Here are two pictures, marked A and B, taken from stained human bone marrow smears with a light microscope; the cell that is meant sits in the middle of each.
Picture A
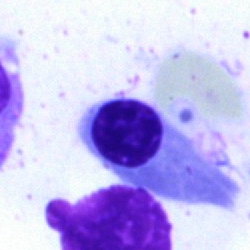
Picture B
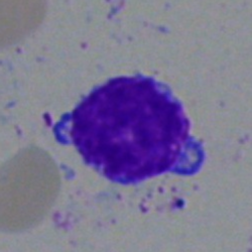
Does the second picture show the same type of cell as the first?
no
